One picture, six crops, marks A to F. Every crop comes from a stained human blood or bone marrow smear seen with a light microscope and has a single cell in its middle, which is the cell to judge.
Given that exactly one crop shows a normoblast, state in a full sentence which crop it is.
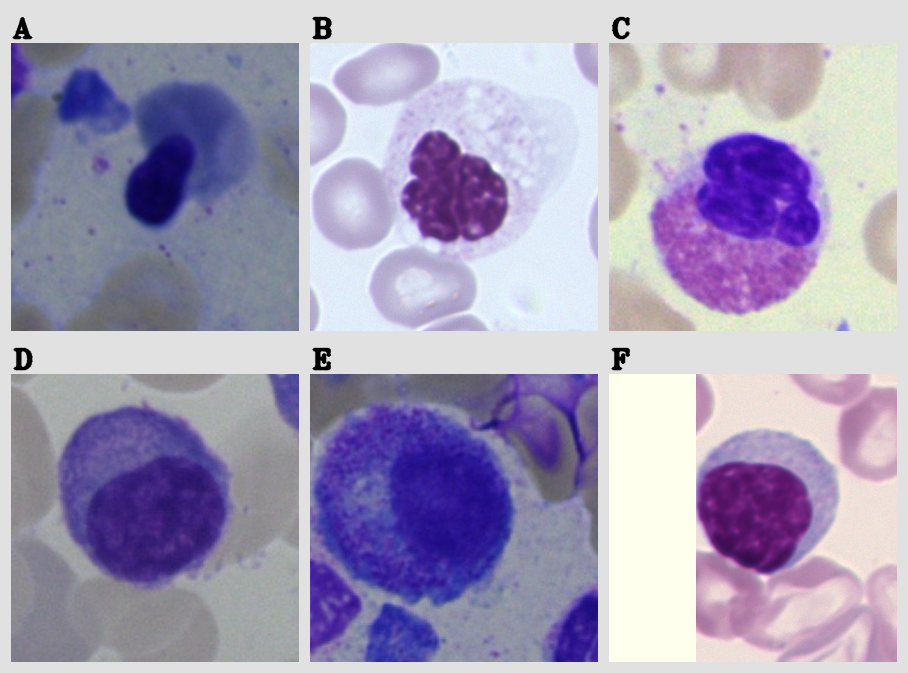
Of the crops shown, crop A depicts a normoblast.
